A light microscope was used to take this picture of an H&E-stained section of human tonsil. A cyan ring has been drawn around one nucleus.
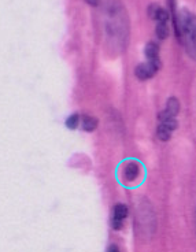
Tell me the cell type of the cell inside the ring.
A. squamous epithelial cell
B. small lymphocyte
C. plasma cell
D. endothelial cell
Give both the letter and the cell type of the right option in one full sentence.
In this section the cell inside the ring is a squamous epithelial cell; option A is therefore correct.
